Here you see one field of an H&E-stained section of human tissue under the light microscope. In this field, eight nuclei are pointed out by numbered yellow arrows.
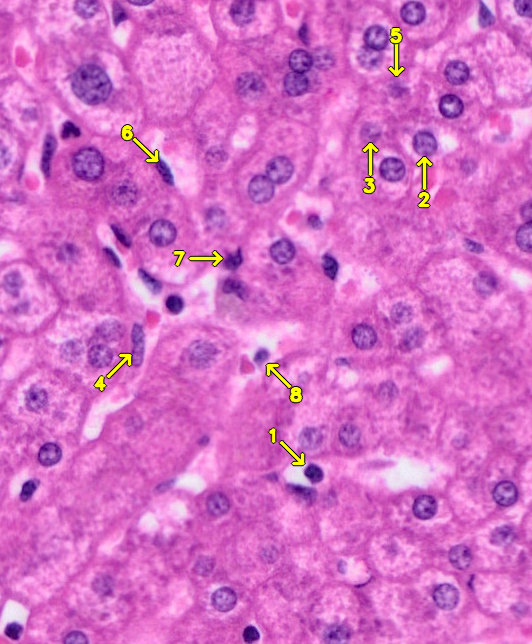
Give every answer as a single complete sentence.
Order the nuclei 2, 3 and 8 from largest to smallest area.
Going from the biggest nucleus down to the smallest gives 2, 3, 8.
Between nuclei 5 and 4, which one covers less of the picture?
It is nucleus 5; nucleus 4 has about 2 times its area.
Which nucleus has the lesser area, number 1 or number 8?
Nucleus 8 is the smaller one; nucleus 1 covers about 1.5 times its area.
